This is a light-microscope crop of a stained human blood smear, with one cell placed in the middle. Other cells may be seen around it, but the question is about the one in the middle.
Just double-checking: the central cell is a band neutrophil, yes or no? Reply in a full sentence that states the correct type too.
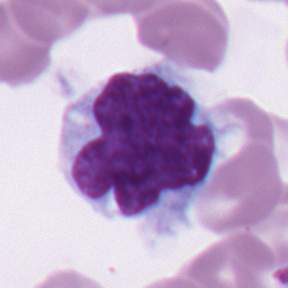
No, that guess of a band neutrophil misses; the central cell is a monocyte.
